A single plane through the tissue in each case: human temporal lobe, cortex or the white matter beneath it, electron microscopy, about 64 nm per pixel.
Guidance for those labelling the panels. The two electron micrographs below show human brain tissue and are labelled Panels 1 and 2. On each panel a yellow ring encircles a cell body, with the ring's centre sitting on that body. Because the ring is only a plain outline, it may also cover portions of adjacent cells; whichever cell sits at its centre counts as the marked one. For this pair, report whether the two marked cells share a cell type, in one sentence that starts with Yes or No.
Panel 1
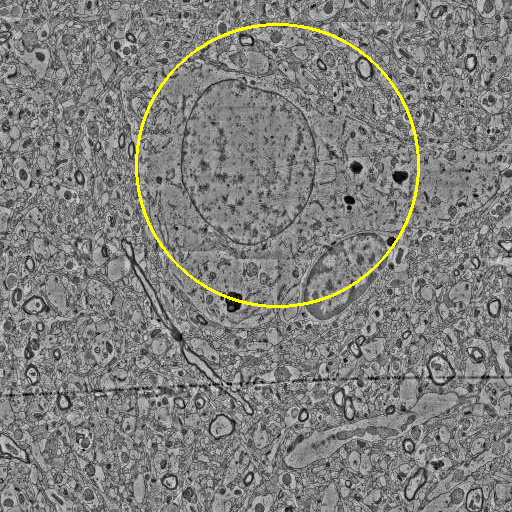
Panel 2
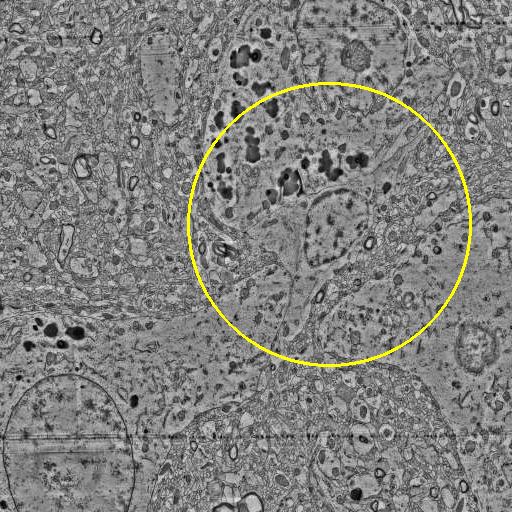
No, in Panel 1 and Panel 2 the marked cells at the ring centres are of two types.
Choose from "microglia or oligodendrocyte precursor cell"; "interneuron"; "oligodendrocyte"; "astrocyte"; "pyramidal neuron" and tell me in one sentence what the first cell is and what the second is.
What the first ring is centred on is a pyramidal neuron; what the second ring is centred on is a microglial cell or oligodendrocyte precursor cell.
